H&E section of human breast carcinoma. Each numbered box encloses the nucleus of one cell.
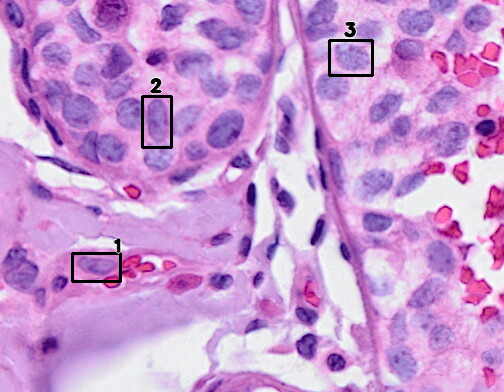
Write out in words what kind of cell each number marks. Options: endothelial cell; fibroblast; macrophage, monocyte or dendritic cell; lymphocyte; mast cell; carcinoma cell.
Cell 1 is an endothelial cell, cell 2 is a carcinoma cell and cell 3 is a carcinoma cell.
